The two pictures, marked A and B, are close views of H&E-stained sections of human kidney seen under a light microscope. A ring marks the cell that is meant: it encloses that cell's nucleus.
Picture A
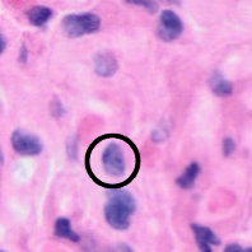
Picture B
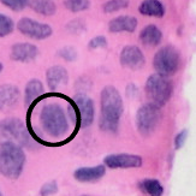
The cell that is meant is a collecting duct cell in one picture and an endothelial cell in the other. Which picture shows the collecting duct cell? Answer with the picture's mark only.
B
